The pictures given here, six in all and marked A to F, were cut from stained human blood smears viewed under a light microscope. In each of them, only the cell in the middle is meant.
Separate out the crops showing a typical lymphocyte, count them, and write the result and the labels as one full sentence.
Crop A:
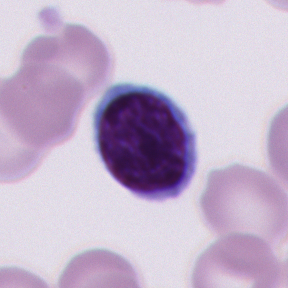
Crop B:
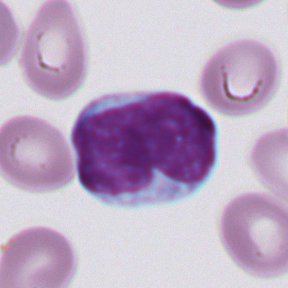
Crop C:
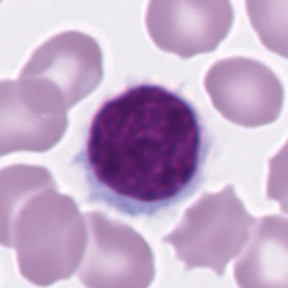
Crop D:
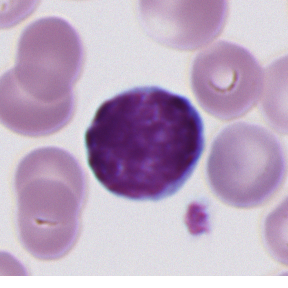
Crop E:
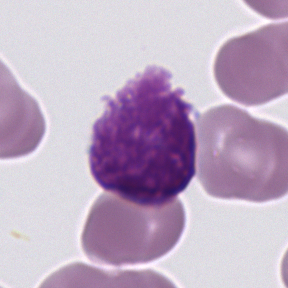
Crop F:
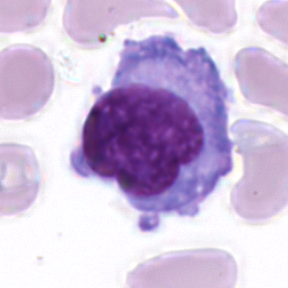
The crops showing typical lymphocytes number three: A, B and D.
